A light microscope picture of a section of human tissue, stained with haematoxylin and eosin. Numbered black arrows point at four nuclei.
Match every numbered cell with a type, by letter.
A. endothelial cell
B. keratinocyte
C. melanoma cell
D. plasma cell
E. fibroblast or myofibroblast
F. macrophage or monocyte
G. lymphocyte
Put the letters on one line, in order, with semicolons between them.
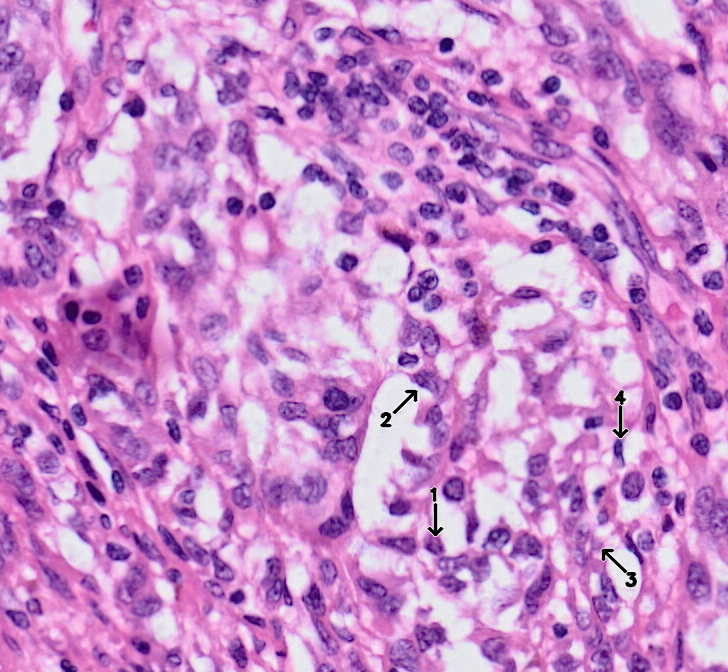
C; C; C; G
